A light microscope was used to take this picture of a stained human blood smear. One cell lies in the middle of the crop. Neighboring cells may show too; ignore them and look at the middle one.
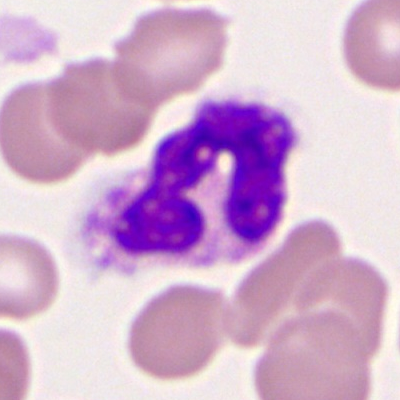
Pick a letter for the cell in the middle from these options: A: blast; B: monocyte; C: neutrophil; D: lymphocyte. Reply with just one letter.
C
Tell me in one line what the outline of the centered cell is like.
The margin of this cell is irregular, showing raggedness or projections instead of smoothness.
